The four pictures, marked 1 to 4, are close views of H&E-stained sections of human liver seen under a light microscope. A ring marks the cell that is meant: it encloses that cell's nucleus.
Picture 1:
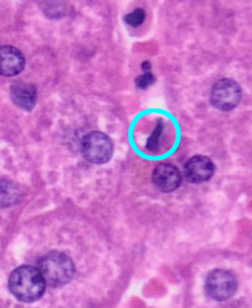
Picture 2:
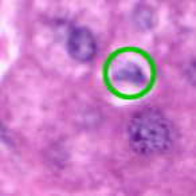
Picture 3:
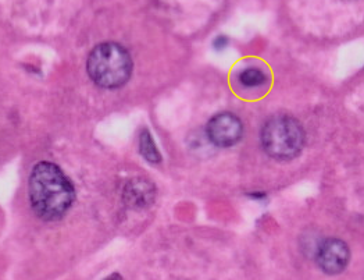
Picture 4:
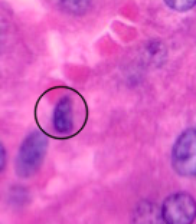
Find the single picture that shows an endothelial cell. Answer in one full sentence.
The picture with the endothelial cell is 1.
